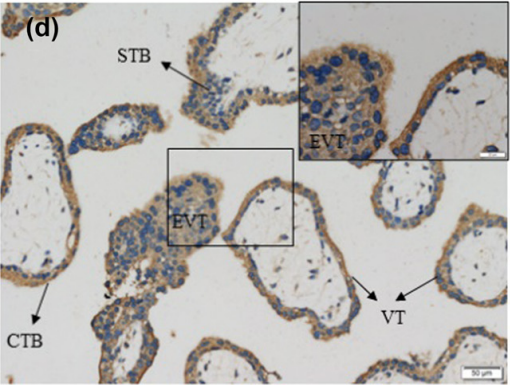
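Villus profiles of various sizes are cut in section, each with a loose, pale core containing scattered cells with small blue nuclei. A thin epithelial covering with a single row of blue nuclei lines the outside of each profile and is stained light to moderate brown. In places the covering thickens into compact clusters of rounded cells with large round blue nuclei and brown-tinged cytoplasm that bulge from the villus surface. The enlarged inset shows such a cluster beside a thin stretch of covering.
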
